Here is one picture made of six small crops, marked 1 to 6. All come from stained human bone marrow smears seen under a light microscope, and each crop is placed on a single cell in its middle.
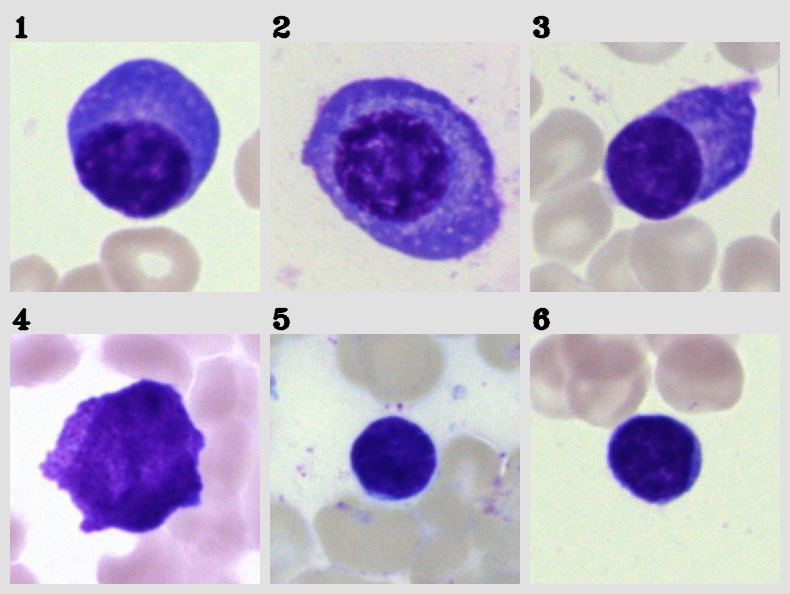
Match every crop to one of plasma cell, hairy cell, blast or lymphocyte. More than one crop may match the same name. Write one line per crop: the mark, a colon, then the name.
1: plasma cell
2: plasma cell
3: plasma cell
4: blast
5: lymphocyte
6: lymphocyte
